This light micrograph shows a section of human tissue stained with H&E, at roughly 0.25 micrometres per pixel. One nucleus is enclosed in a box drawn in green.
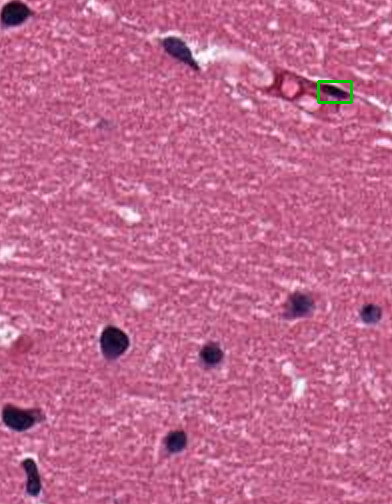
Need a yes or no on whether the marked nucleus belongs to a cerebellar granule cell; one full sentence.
No, the marked nucleus is located in a supporting cell and not in a cerebellar granule cell.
